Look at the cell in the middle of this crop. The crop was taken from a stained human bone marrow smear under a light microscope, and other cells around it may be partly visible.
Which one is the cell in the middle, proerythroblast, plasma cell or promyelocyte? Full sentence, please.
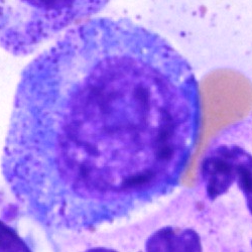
The cell at the central position in this crop is a promyelocyte.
